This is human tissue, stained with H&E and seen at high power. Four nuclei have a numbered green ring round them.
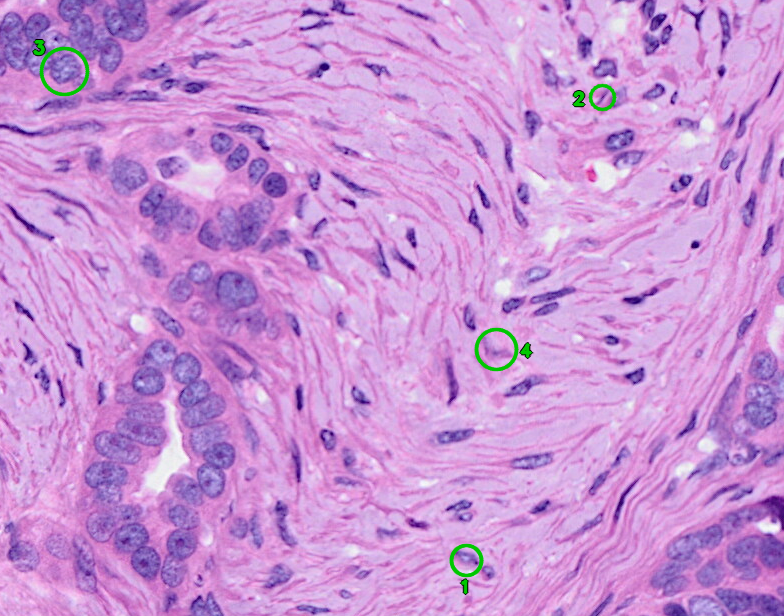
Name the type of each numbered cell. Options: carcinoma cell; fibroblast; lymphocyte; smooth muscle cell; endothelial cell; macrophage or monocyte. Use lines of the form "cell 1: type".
cell 1: fibroblast
cell 2: fibroblast
cell 3: carcinoma cell
cell 4: fibroblast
